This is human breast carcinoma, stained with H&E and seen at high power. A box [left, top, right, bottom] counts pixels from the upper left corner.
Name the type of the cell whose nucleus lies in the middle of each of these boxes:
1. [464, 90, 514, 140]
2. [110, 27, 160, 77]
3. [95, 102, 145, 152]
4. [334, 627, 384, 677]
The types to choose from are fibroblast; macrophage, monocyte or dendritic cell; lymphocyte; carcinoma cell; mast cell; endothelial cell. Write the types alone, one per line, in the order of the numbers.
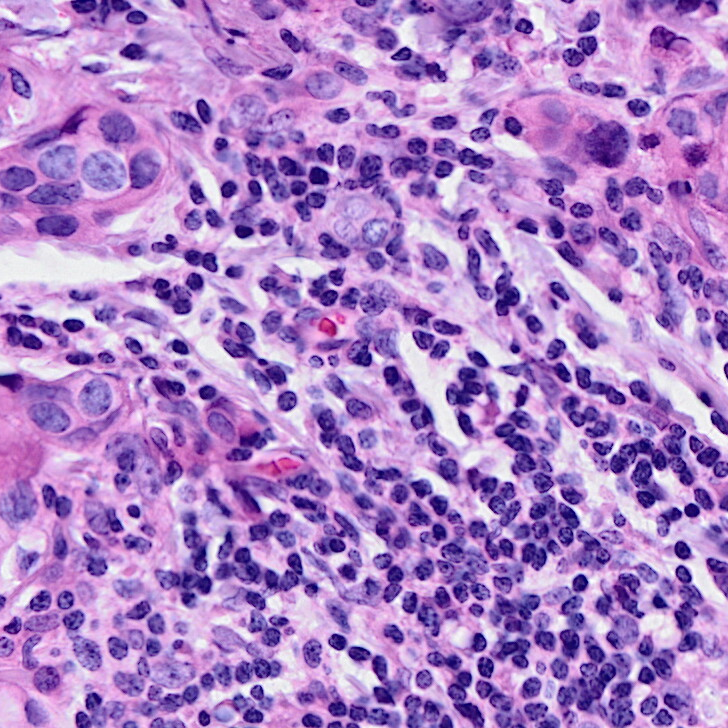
lymphocyte
lymphocyte
carcinoma cell
lymphocyte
